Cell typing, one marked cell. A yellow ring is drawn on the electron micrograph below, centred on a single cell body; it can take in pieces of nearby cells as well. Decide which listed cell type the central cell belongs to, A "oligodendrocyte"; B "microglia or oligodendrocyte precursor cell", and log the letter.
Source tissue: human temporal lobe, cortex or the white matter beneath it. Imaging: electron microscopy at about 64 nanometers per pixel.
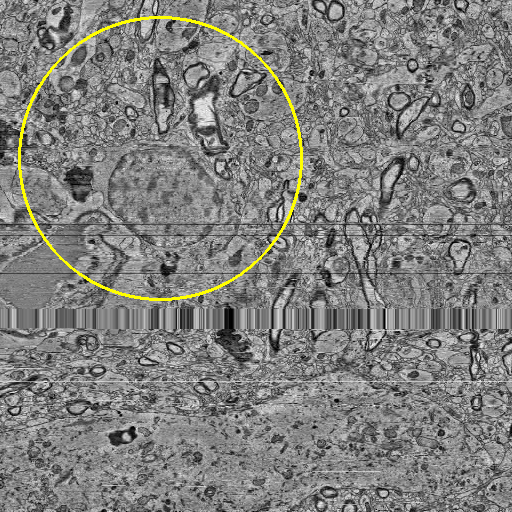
A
